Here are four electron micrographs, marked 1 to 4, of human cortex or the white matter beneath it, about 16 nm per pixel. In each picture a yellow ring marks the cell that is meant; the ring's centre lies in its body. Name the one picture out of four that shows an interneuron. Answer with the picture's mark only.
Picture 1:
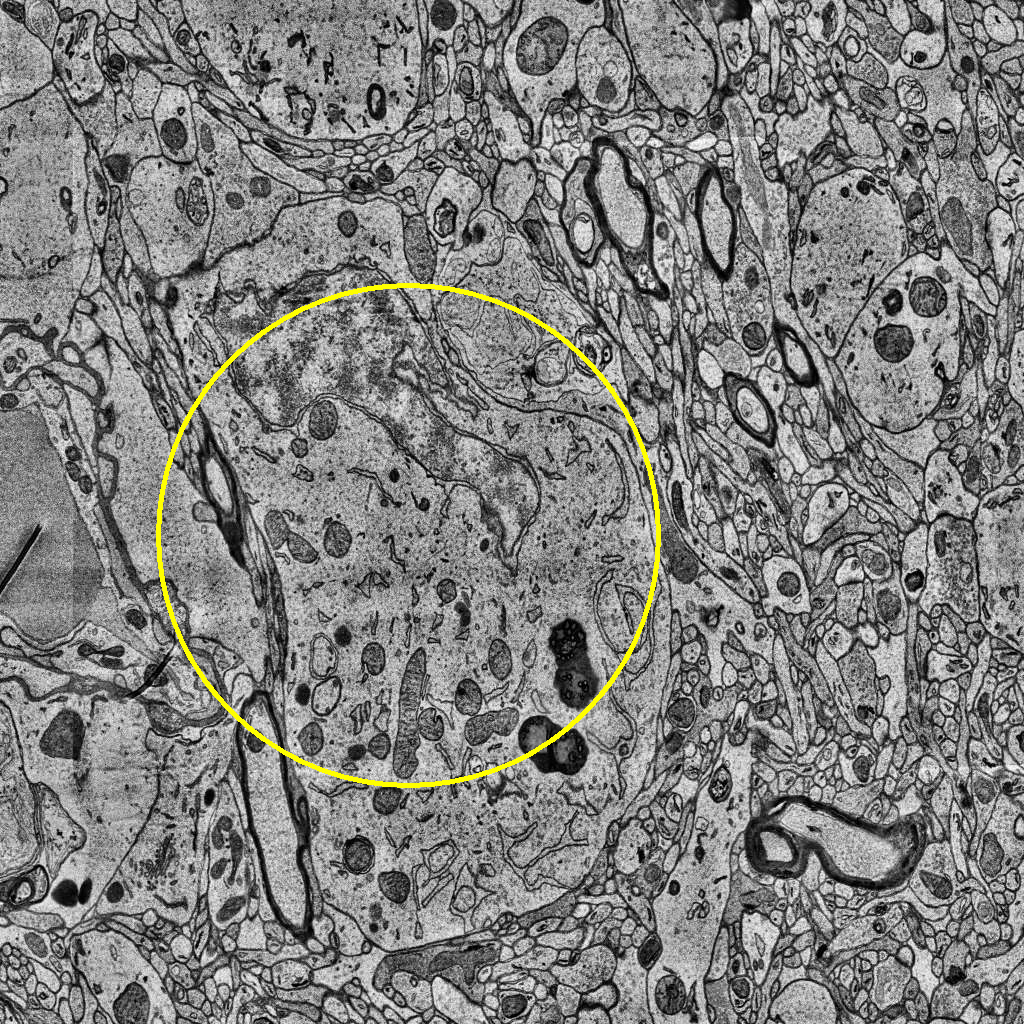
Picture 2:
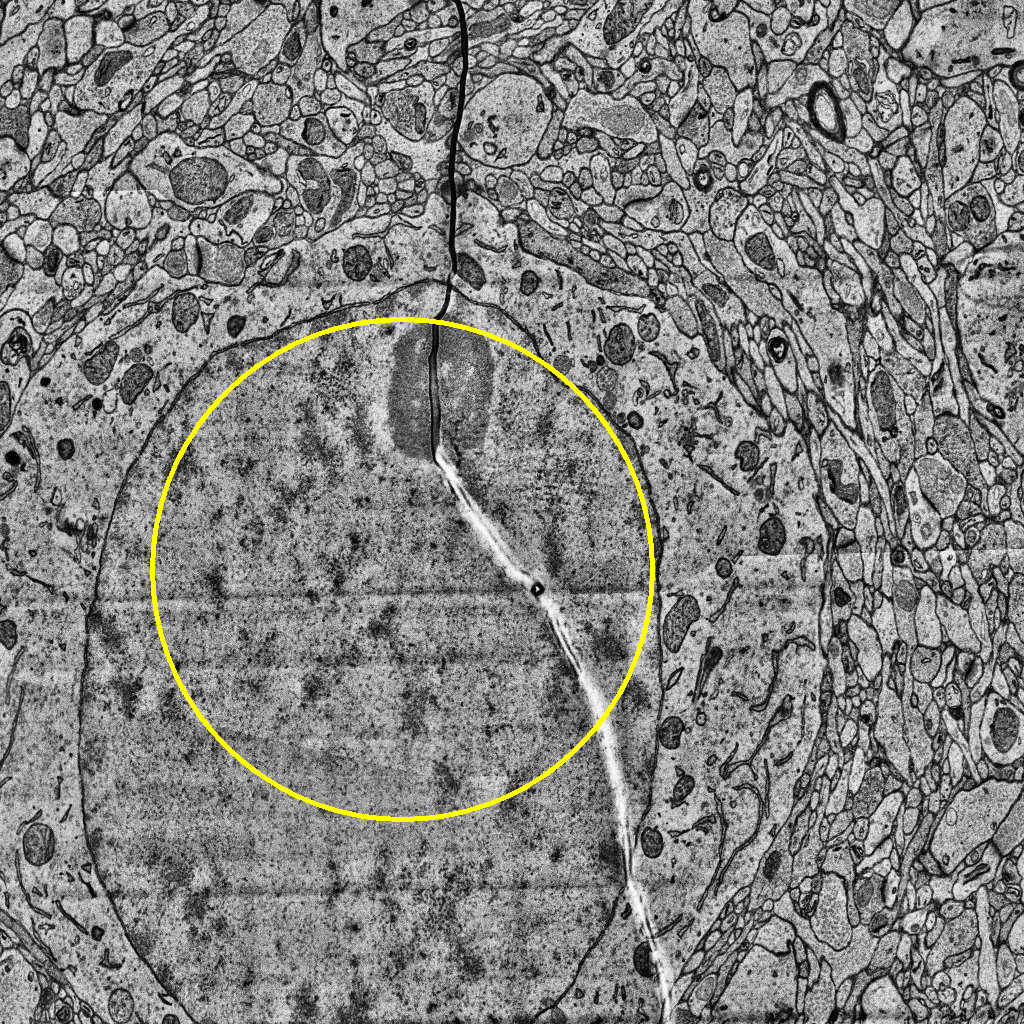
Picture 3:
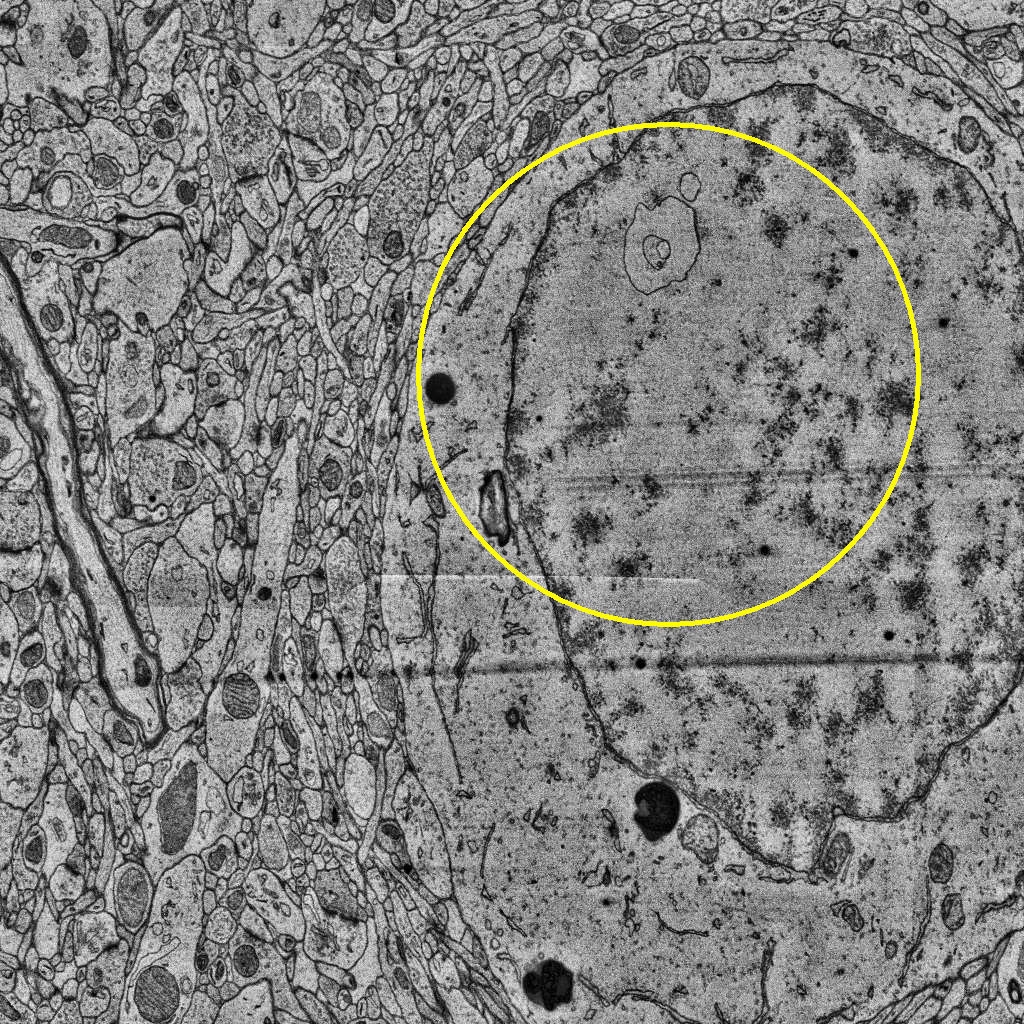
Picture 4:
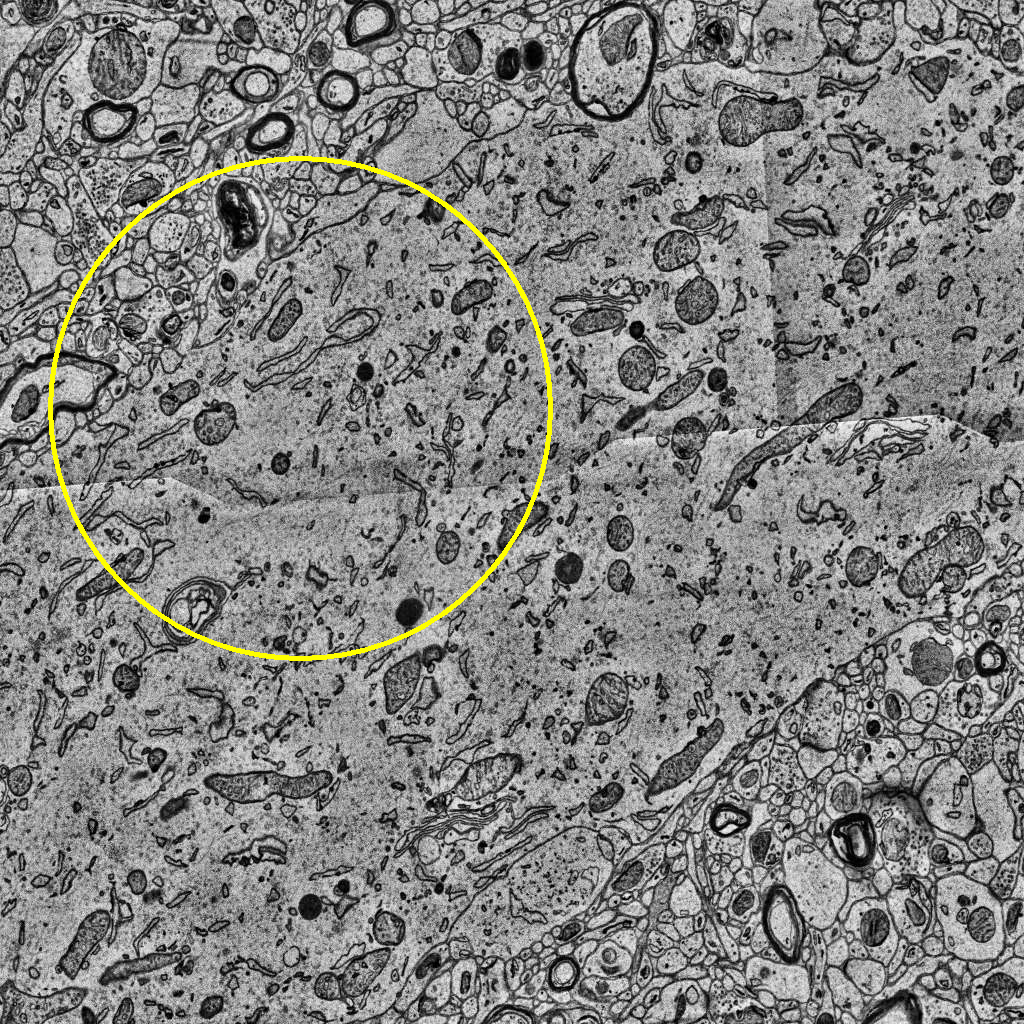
1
